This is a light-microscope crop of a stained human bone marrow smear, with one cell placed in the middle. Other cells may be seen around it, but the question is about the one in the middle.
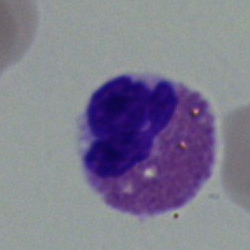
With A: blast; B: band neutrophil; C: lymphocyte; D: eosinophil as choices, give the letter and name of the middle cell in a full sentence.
Option D is correct in that the central cell is an eosinophil.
